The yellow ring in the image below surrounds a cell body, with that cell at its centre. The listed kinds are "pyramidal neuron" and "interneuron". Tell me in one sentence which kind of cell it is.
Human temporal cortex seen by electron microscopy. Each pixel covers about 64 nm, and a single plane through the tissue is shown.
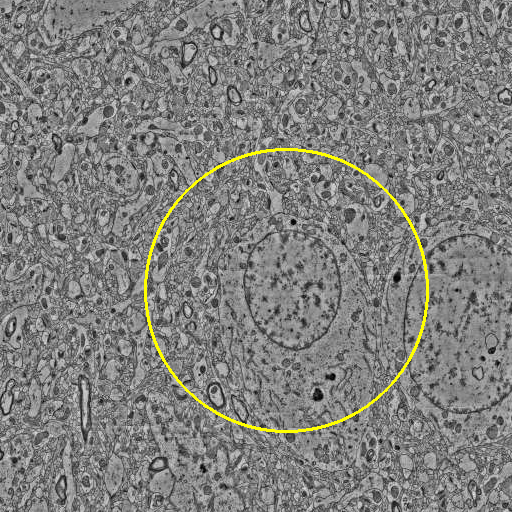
The centre of the ring holds a pyramidal neuron.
